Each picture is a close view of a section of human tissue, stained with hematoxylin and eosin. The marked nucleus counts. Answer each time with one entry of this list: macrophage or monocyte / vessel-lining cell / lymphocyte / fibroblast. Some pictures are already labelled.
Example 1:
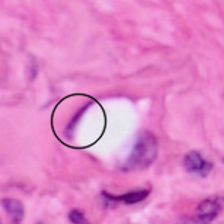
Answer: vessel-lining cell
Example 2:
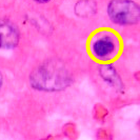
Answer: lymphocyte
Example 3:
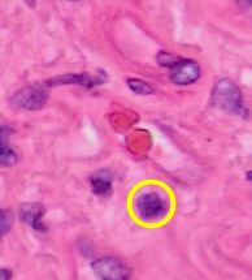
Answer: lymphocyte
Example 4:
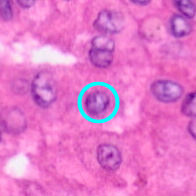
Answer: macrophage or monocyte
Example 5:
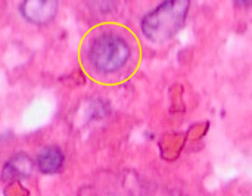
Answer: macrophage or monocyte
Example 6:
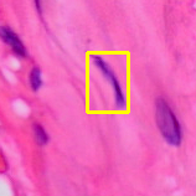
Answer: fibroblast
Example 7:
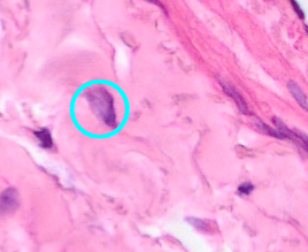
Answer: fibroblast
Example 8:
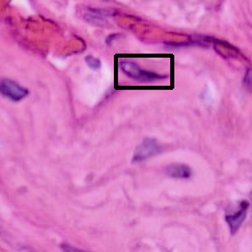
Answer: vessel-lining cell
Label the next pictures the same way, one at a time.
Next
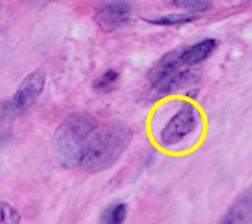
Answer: macrophage or monocyte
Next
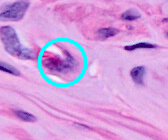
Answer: vessel-lining cell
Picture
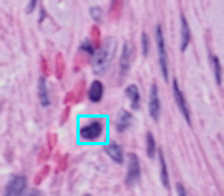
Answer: lymphocyte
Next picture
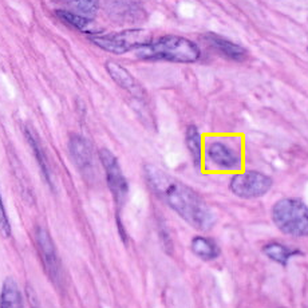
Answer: macrophage or monocyte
